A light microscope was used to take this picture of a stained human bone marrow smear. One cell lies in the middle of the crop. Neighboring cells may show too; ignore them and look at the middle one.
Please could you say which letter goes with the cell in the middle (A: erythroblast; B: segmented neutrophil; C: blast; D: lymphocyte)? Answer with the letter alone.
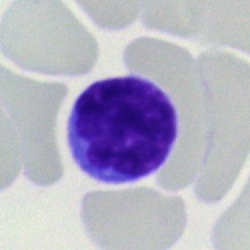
D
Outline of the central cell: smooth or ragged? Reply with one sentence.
The cell shows a smooth outline that lacks any surface projections.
